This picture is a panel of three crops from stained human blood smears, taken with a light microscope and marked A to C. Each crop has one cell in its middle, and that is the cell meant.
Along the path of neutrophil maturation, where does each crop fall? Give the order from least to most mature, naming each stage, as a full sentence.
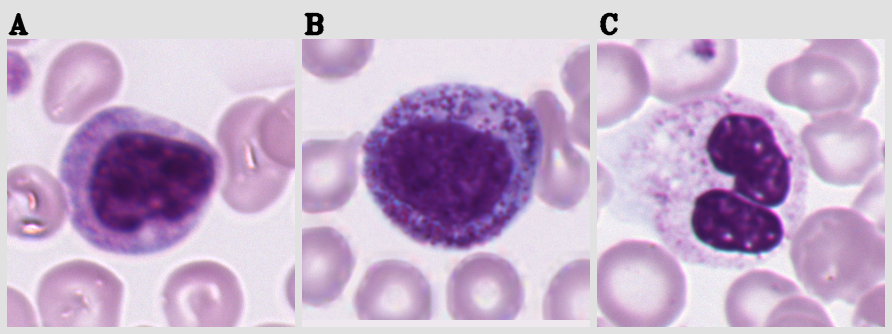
Starting with the least mature and ending with the most mature, the order is crop B (a promyelocyte), crop A (a metamyelocyte) and crop C (a segmented neutrophil).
